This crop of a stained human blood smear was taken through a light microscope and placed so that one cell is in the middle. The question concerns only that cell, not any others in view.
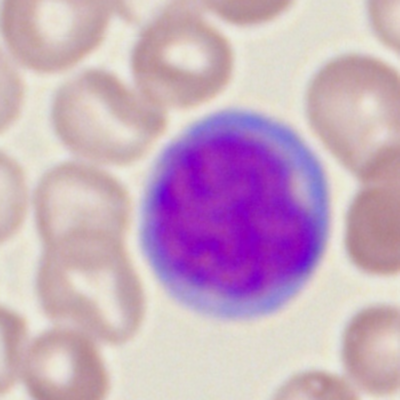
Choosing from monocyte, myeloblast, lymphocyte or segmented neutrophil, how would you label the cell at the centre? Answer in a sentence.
The central cell in this smear crop is a monocyte.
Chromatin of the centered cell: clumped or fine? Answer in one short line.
One feature to record is coarsely clumped chromatin.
